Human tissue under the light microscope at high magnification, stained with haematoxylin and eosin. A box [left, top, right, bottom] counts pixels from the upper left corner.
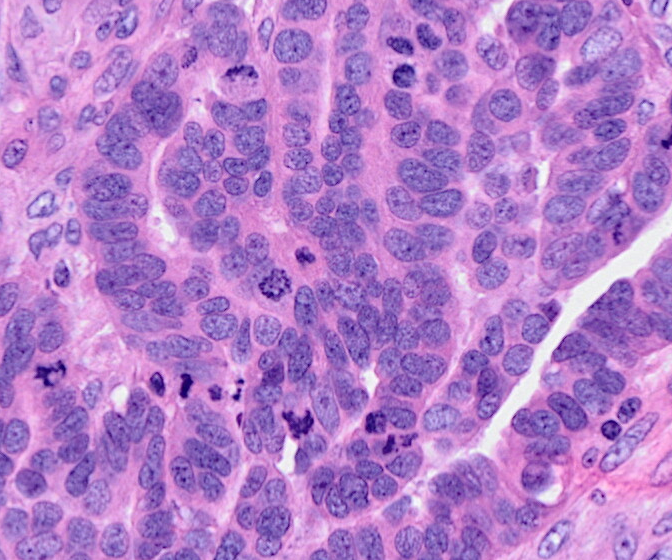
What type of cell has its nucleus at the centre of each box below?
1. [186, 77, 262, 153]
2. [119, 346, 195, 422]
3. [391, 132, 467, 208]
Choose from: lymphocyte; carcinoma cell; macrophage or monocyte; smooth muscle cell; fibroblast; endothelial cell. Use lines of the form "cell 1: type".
cell 1: carcinoma cell
cell 2: lymphocyte
cell 3: carcinoma cell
